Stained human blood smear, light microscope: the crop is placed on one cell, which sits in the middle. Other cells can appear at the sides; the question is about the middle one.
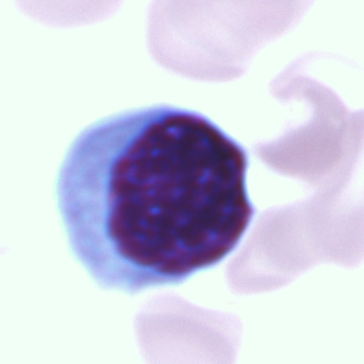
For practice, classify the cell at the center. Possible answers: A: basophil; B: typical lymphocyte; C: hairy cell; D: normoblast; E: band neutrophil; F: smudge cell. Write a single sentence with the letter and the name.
The best answer is option D, since the cell in the middle is a normoblast.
